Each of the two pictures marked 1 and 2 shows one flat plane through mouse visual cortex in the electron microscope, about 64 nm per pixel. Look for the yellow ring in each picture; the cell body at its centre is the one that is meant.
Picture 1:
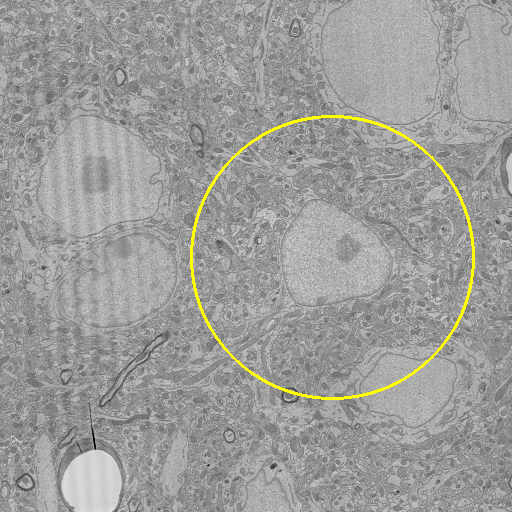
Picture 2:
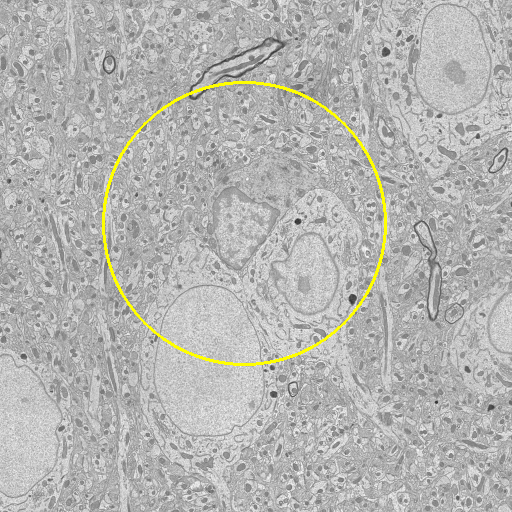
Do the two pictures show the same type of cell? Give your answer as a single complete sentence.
No, picture 1 shows an astrocyte and picture 2 shows an oligodendrocyte.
